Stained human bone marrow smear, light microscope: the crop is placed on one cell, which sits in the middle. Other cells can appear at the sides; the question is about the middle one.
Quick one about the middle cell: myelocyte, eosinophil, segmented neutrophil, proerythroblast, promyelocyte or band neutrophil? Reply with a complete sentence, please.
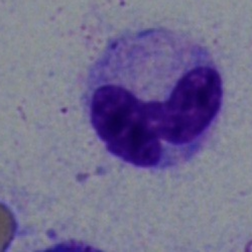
The centrally placed cell is classified as a band neutrophil.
